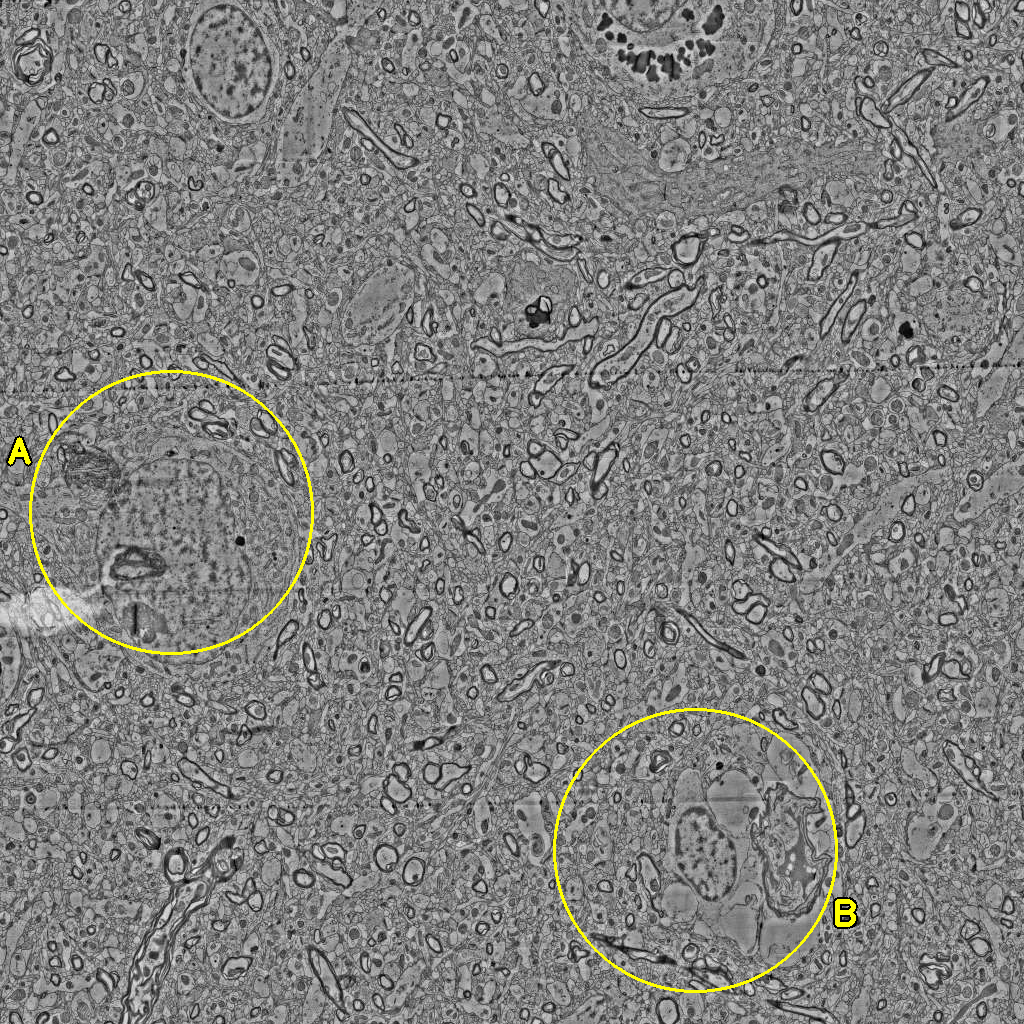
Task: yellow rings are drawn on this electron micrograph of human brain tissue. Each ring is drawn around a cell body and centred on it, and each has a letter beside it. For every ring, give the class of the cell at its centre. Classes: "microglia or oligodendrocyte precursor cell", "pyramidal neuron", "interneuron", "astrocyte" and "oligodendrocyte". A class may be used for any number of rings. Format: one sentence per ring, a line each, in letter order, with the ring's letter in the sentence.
The cell ringed as A is an interneuron.
The cell ringed as B is a microglial cell or oligodendrocyte precursor cell.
